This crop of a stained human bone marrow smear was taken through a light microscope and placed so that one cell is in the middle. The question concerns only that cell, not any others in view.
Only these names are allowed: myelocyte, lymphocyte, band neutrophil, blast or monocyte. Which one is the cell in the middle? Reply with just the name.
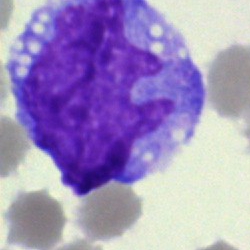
monocyte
